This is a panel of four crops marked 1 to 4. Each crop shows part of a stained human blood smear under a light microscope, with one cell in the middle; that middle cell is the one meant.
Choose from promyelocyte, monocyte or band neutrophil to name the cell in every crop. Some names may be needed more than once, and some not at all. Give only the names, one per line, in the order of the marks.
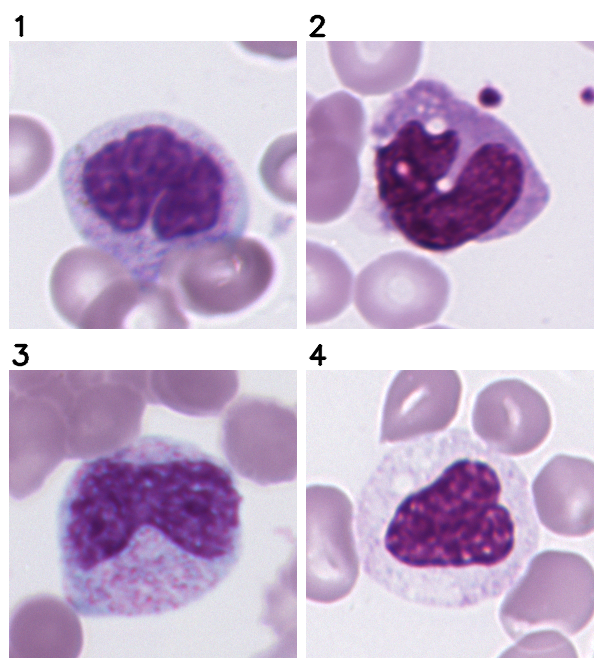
band neutrophil
monocyte
band neutrophil
band neutrophil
